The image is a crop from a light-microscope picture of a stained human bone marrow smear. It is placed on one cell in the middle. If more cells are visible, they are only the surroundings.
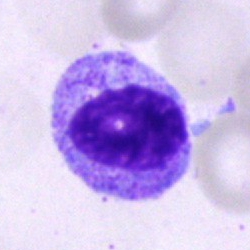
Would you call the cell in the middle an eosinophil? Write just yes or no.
no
